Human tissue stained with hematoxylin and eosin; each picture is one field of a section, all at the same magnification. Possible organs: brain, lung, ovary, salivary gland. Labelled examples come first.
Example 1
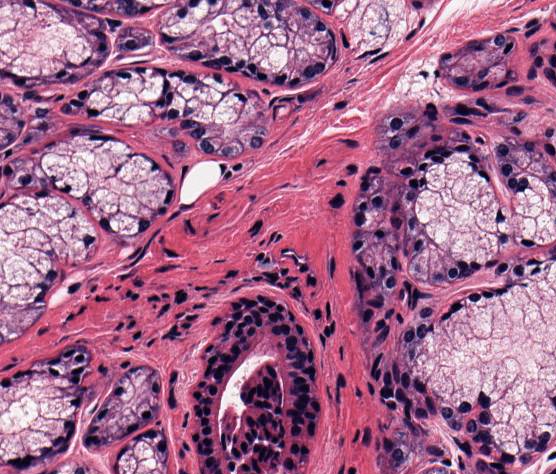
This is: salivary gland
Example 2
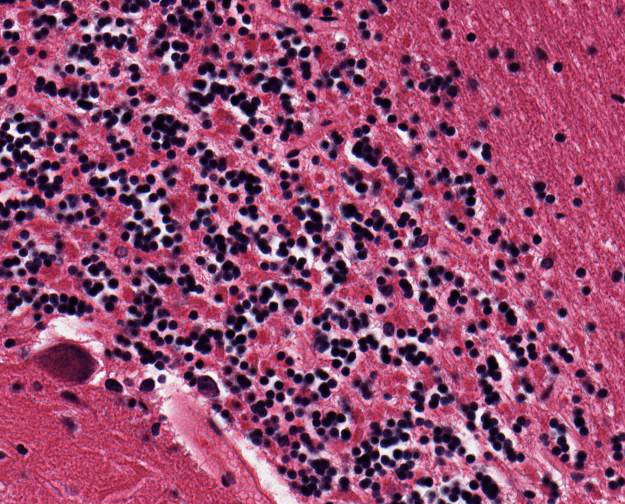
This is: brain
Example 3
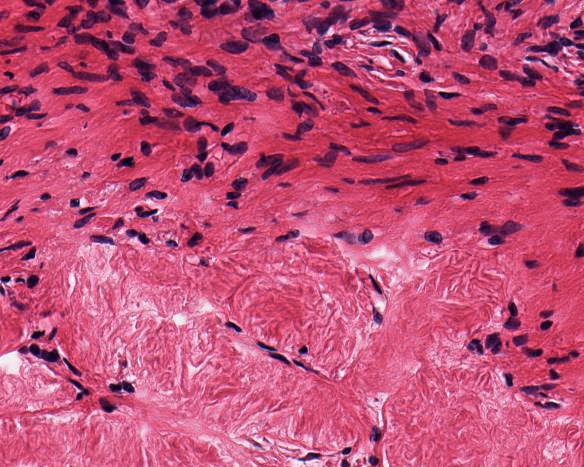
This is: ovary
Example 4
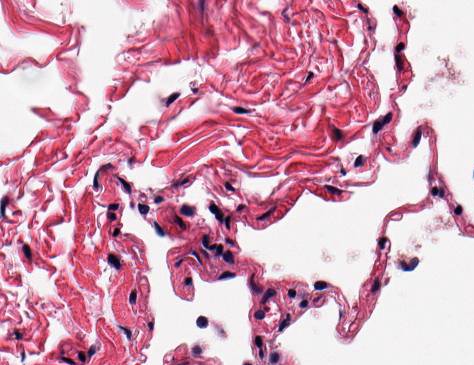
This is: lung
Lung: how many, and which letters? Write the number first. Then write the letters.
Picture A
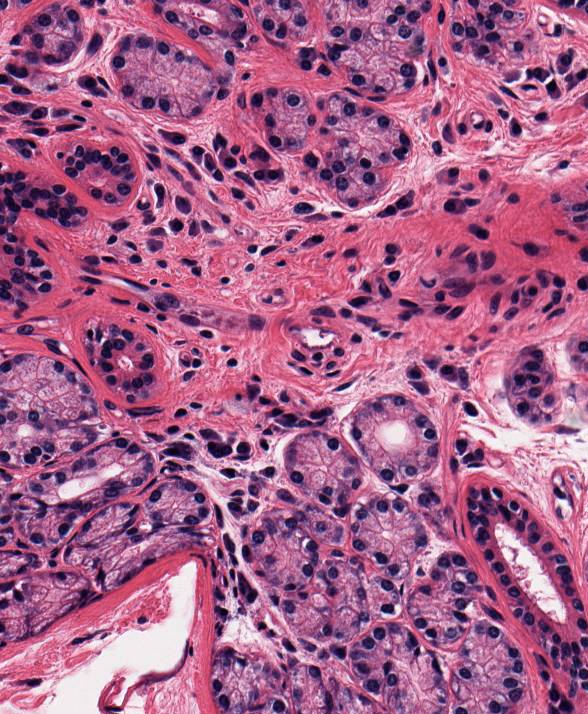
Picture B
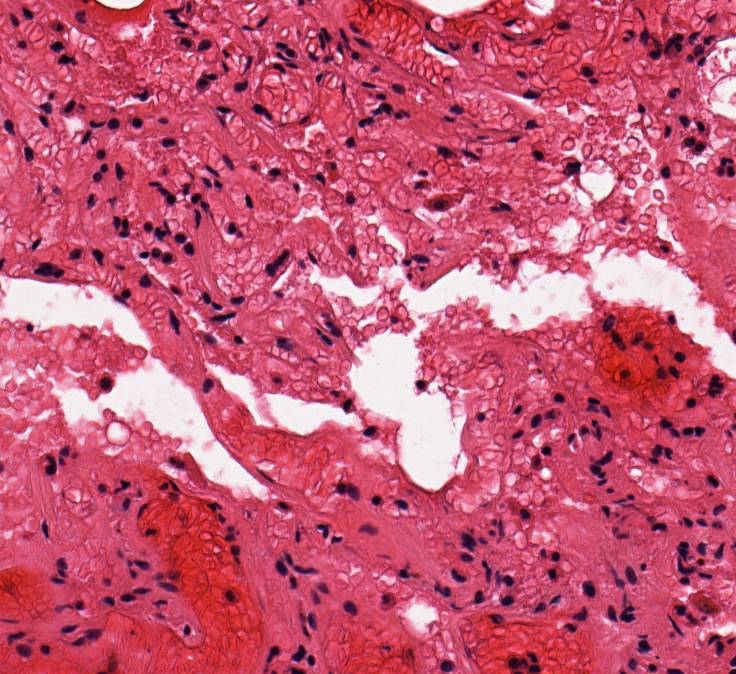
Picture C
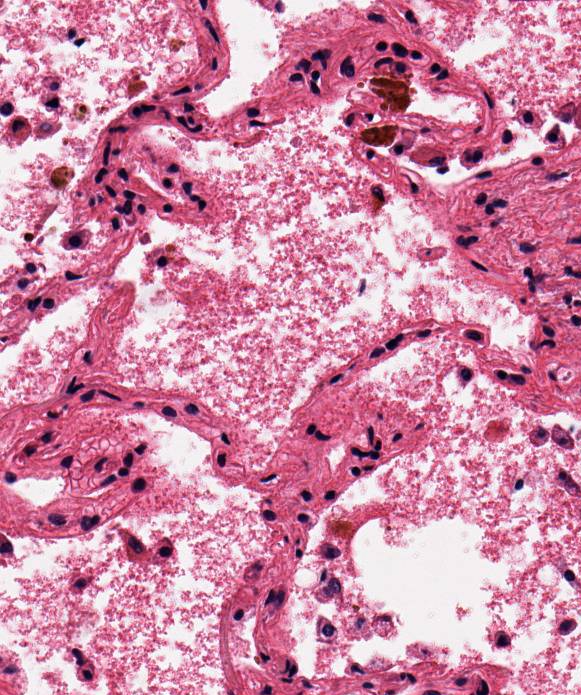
2: B, C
